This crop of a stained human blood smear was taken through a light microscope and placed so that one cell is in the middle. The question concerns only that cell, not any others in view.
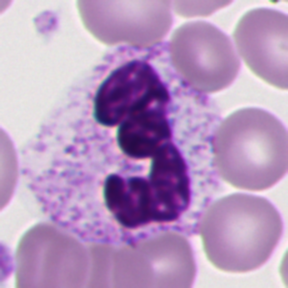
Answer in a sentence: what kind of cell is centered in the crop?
Seen at the centre of the crop is a neutrophil.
